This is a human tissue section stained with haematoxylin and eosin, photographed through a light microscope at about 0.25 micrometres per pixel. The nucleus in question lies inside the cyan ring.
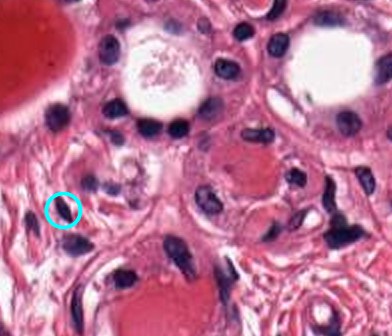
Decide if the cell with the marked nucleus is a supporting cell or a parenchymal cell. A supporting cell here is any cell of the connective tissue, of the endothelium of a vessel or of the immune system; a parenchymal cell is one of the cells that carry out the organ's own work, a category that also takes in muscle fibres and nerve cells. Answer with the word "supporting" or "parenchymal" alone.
supporting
